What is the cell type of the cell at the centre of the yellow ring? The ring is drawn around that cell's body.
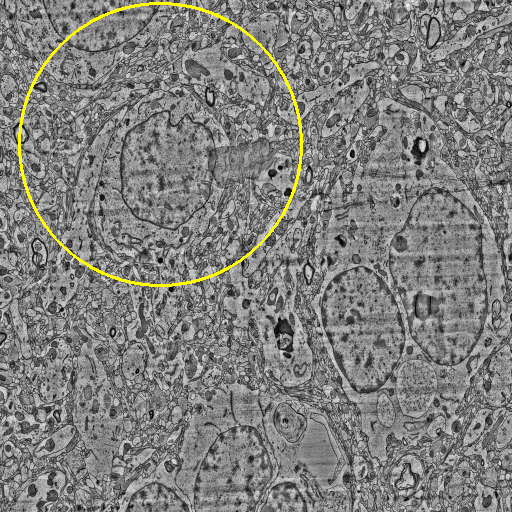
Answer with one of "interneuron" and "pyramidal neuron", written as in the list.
pyramidal neuron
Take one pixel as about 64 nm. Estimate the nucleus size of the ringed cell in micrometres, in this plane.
In this plane the nucleus measures roughly 8 by 6 micrometers.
